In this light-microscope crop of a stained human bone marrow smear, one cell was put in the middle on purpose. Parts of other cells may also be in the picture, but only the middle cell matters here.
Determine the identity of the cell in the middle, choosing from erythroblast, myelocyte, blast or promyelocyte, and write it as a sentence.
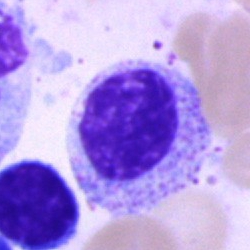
In the middle of this smear crop, the cell is a myelocyte.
